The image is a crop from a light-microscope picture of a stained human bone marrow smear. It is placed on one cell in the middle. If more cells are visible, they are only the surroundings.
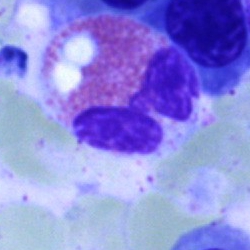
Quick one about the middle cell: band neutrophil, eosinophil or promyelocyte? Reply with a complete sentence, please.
As for the cell in the middle, it is an eosinophil.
